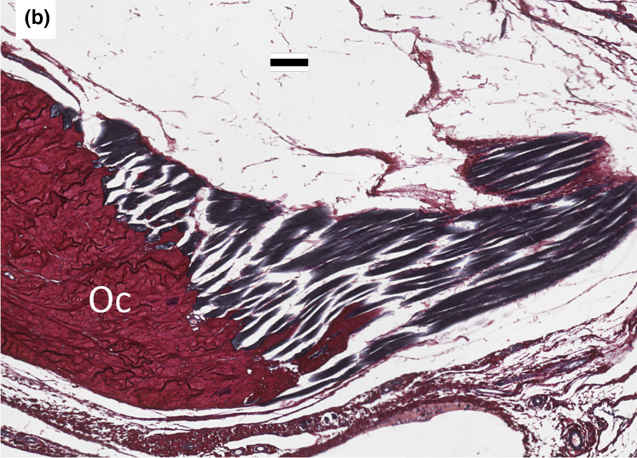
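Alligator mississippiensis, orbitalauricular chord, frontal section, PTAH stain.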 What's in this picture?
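Long, parallel dark purple-black skeletal muscle fibres run in bundles from the right and end against a dense, magenta-red fibrous mass on the left. Pale loose connective tissue with thin pink strands lies above, and thin fibrous layers with small vessels run below.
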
